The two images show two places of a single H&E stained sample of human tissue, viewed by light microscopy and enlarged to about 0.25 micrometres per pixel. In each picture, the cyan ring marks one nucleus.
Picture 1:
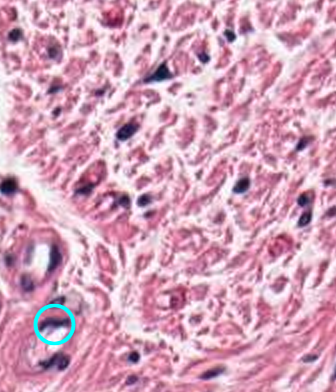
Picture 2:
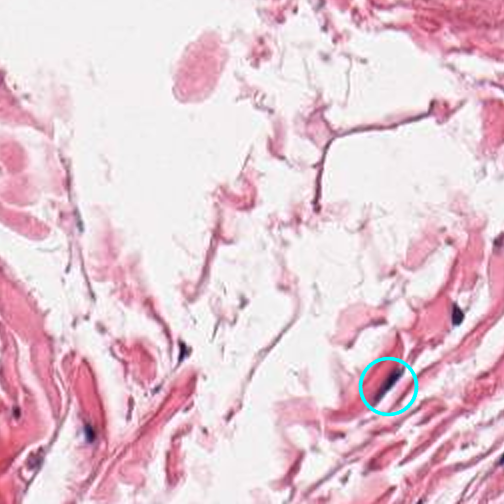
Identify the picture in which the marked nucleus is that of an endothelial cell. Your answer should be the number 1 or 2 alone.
1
